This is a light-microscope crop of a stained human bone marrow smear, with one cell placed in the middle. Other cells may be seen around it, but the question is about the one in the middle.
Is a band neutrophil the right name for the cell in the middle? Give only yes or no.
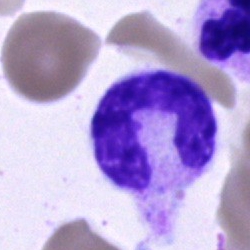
yes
